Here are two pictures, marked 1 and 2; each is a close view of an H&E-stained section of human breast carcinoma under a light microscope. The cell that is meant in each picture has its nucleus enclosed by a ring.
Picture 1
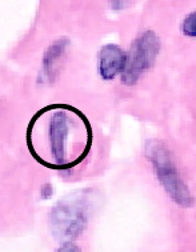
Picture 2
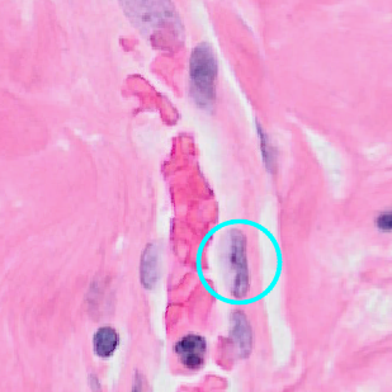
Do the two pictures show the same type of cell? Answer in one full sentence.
Yes, both are endothelial cells.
